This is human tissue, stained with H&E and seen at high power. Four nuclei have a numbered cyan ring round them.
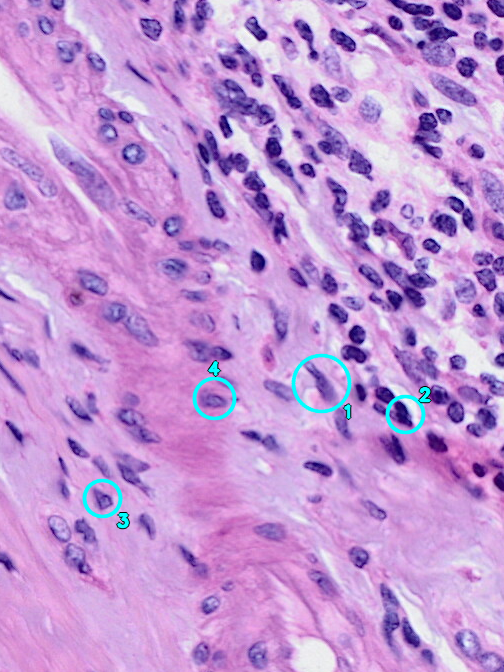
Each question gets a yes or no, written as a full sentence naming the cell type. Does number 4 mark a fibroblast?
No, the correct answer for cell 4 is a smooth muscle cell, not a fibroblast.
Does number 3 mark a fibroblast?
Yes, kindly take note: the cell numbered 3 is a fibroblast.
